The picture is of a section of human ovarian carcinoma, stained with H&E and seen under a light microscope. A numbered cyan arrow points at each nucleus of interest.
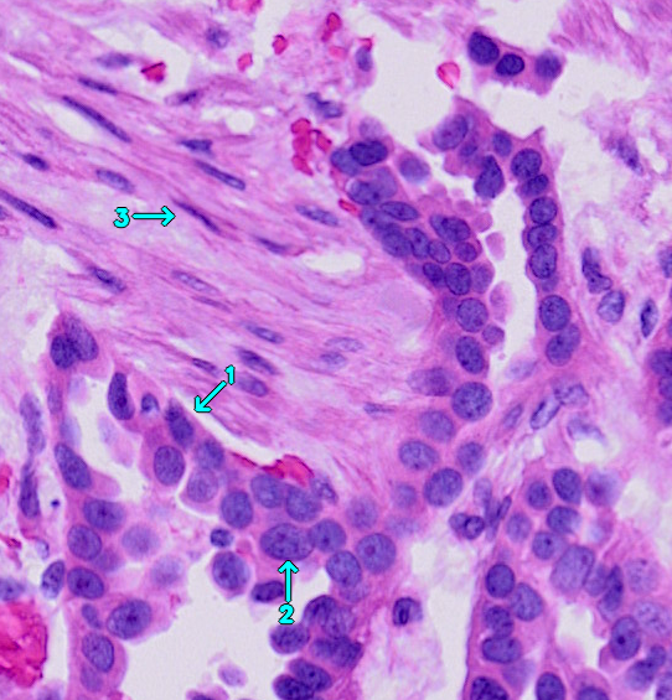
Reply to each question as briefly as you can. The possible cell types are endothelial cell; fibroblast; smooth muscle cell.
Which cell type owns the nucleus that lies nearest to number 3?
fibroblast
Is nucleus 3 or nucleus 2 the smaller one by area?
3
